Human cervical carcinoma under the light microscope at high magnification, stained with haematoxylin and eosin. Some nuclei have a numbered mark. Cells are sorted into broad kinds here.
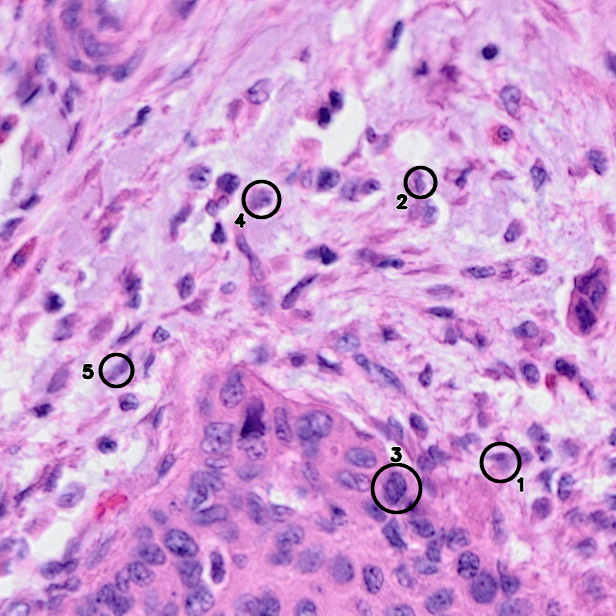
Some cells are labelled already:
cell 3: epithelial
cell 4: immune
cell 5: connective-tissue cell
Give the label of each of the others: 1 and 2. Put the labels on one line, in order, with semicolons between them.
connective-tissue cell; connective-tissue cell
